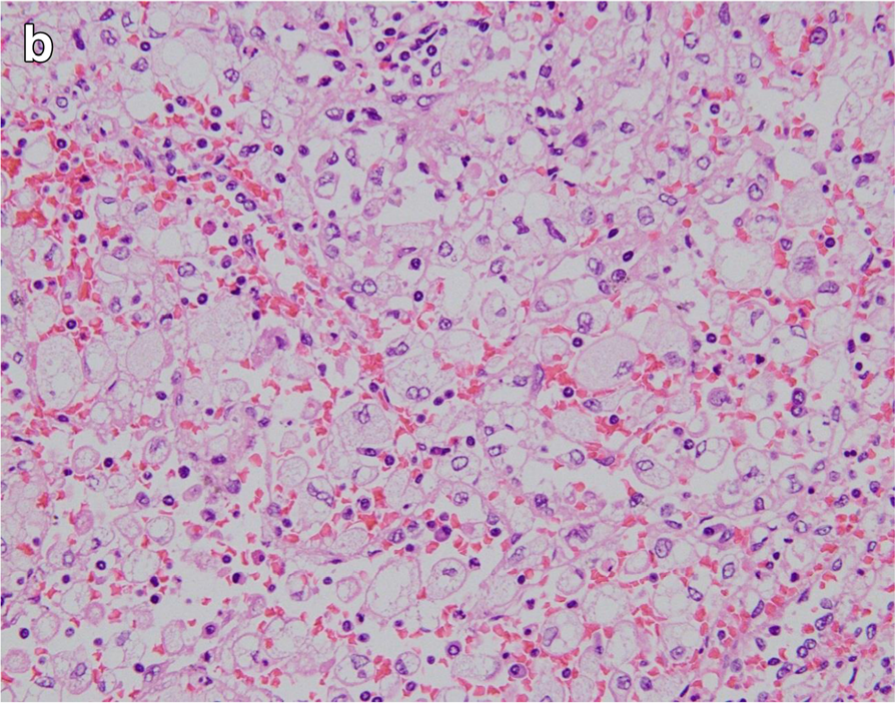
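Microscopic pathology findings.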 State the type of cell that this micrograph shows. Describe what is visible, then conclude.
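Sheets of large cells with abundant pale, finely vacuolated cytoplasm. The large cells vary in size and shape. Red blood cells and small dark round nuclei lie scattered between the large cells.
Conclusion: polymorphic foamy macrophages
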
